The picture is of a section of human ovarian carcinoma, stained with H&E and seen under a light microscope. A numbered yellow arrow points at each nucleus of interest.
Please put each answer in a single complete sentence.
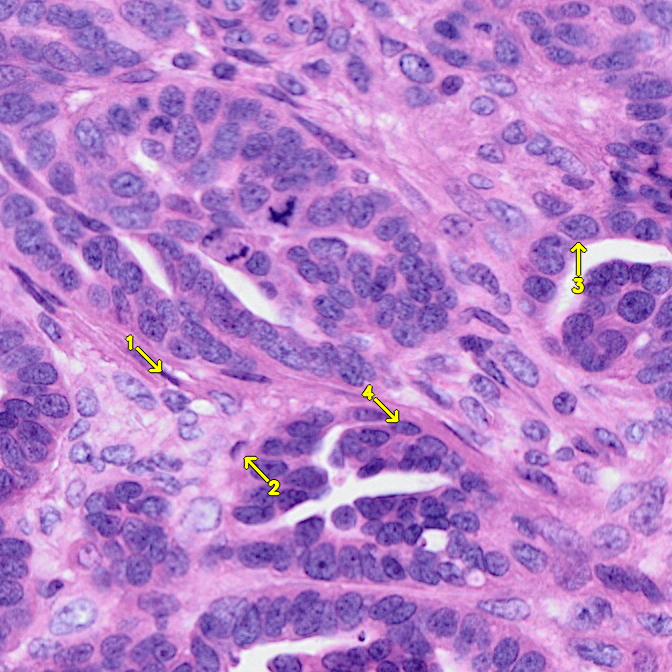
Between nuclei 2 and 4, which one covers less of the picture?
Number 2 is smaller, since number 4 takes up about 1.5 times as much area.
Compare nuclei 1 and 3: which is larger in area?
It is nucleus 3, which covers about 4 times the area of nucleus 1.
